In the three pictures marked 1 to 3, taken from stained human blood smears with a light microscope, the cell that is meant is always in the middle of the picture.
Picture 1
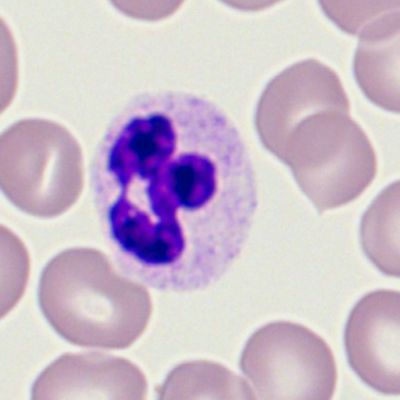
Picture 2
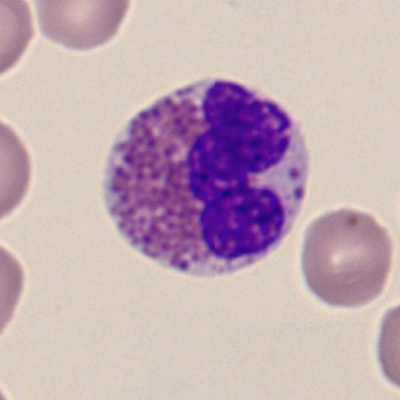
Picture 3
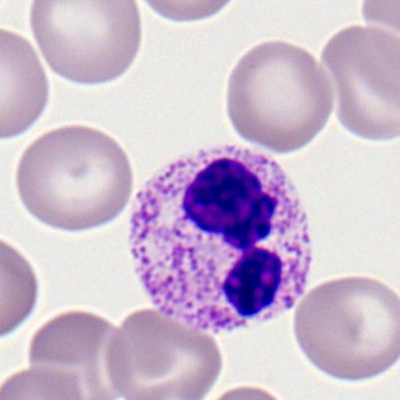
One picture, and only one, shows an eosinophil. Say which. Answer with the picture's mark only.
2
